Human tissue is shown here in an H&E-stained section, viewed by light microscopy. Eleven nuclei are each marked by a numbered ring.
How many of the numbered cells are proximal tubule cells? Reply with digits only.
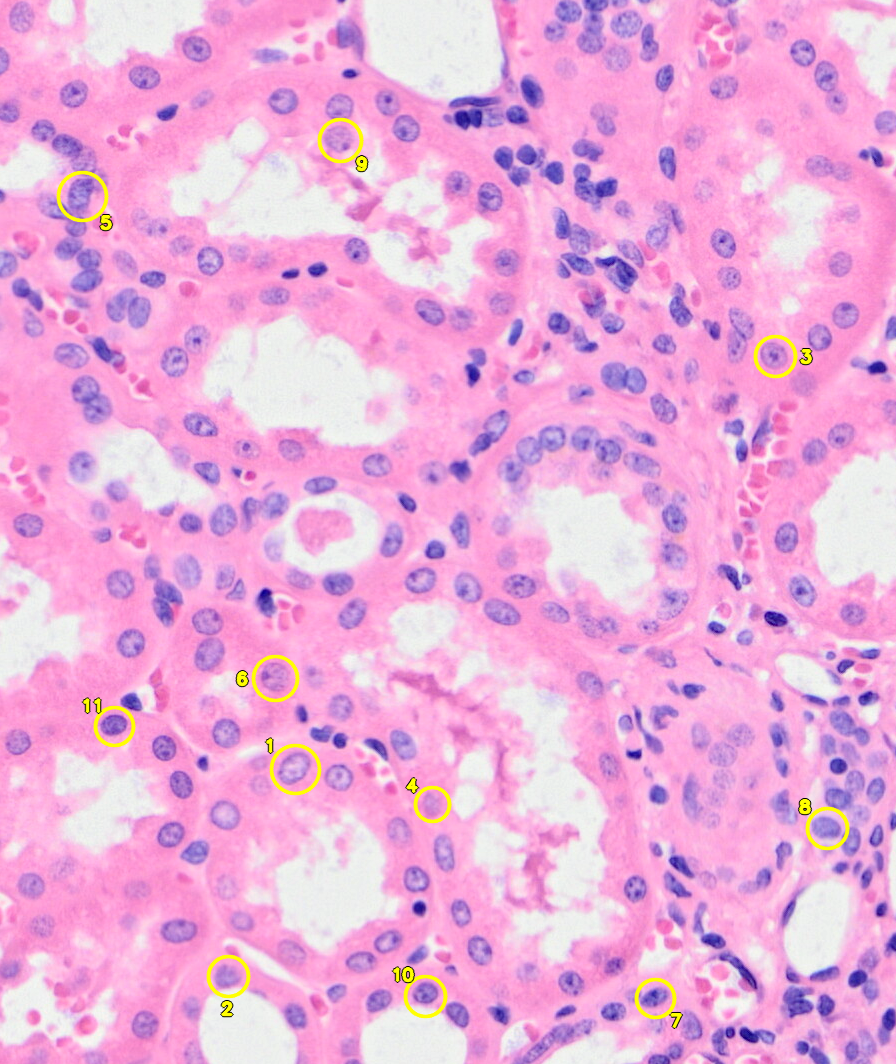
6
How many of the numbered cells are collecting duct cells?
3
